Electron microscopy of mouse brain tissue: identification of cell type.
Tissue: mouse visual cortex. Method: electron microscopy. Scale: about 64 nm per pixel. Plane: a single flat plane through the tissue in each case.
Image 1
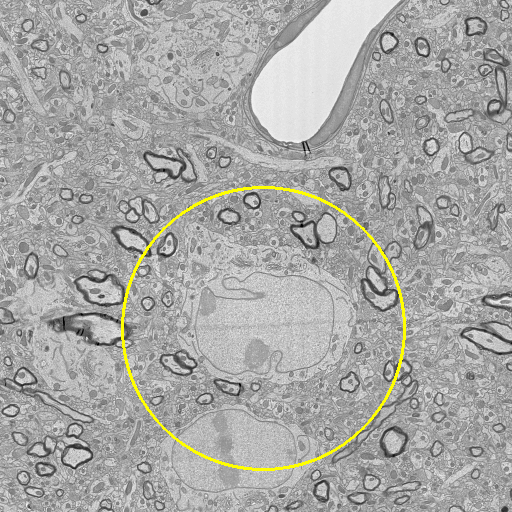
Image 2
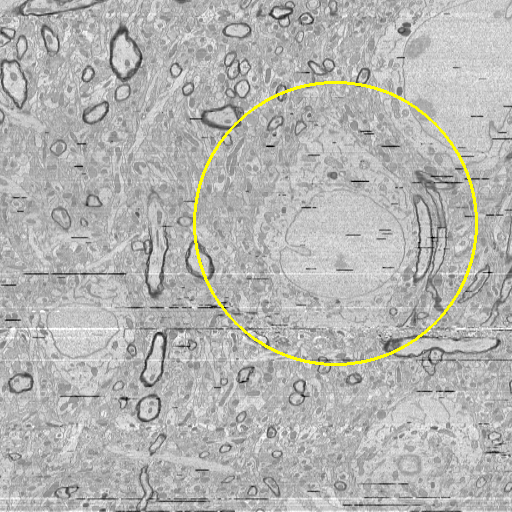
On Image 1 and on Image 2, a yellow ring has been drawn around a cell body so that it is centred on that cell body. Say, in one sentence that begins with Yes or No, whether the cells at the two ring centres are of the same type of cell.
Yes, both cells are the same type of cell.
